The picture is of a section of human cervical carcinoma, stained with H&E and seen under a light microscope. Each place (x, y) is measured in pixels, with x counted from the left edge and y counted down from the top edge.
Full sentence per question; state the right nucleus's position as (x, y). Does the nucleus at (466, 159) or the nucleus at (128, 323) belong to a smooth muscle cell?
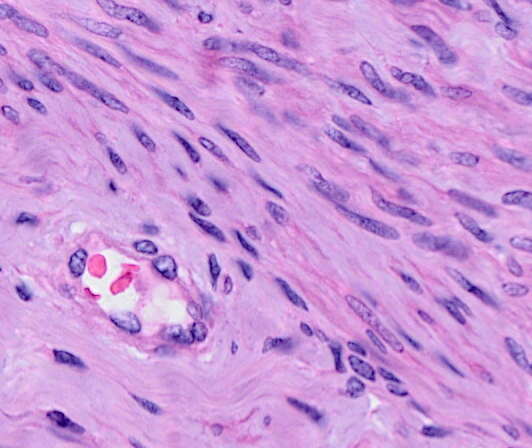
The nucleus of a smooth muscle cell lies at (466, 159), not at the other position.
